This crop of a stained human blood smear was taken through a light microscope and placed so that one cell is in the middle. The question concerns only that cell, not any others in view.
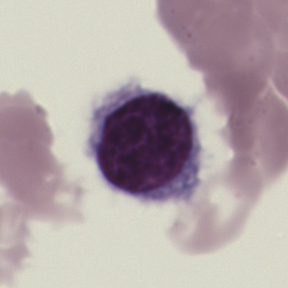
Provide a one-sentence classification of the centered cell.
To answer, the cell in the center of the crop is a hairy cell.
